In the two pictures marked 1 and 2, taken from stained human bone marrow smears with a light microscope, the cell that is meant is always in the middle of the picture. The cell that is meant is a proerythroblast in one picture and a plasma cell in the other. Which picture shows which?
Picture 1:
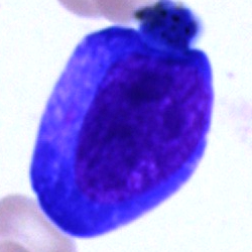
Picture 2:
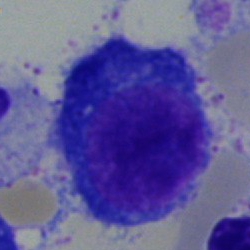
1: proerythroblast
2: plasma cell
